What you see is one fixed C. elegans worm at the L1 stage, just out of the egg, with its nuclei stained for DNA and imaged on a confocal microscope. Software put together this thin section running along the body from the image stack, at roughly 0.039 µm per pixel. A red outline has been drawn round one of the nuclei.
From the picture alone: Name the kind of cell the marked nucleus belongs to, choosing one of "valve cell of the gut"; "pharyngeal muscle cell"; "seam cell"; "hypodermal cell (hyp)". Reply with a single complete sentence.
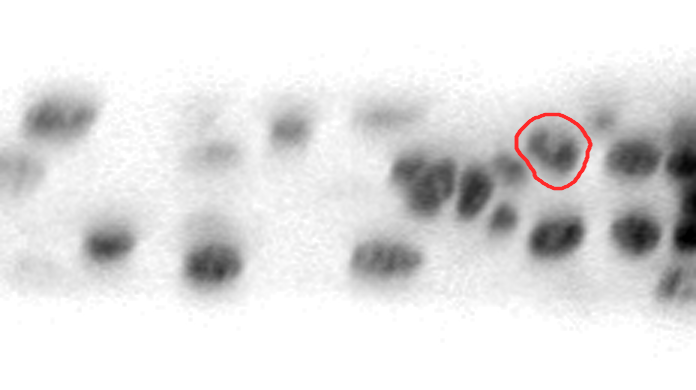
The marked nucleus is that of a pharyngeal muscle cell.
